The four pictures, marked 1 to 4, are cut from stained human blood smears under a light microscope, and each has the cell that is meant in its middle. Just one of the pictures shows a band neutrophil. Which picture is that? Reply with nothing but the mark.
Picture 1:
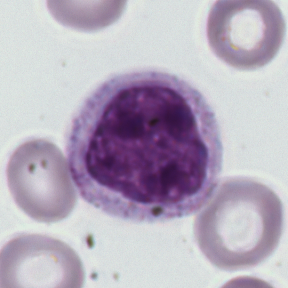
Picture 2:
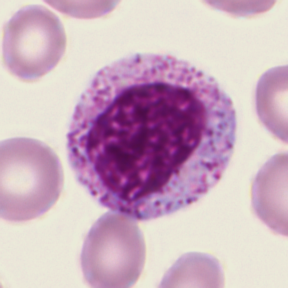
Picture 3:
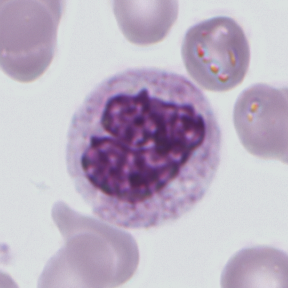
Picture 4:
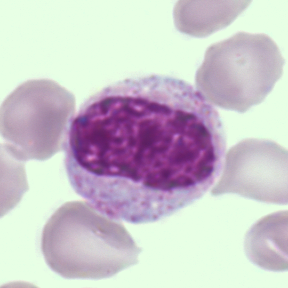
3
